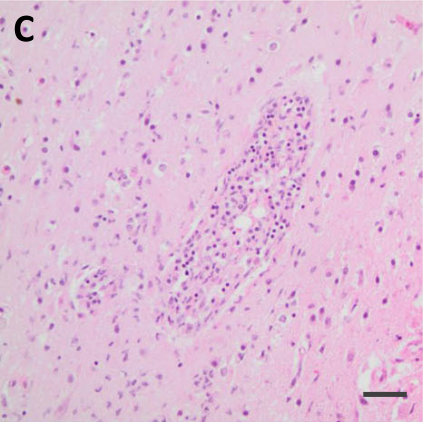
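This is brain tissue with an inflammatory infiltrate gathered around a blood vessel. The vessel in the centre is cuffed by many small, round, darkly stained nuclei of lymphocytes, packed in the space around its wall. Further small round nuclei are scattered through the pale pink neuropil around it.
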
